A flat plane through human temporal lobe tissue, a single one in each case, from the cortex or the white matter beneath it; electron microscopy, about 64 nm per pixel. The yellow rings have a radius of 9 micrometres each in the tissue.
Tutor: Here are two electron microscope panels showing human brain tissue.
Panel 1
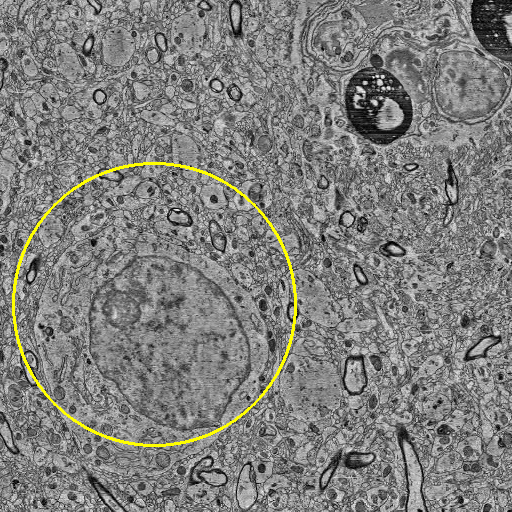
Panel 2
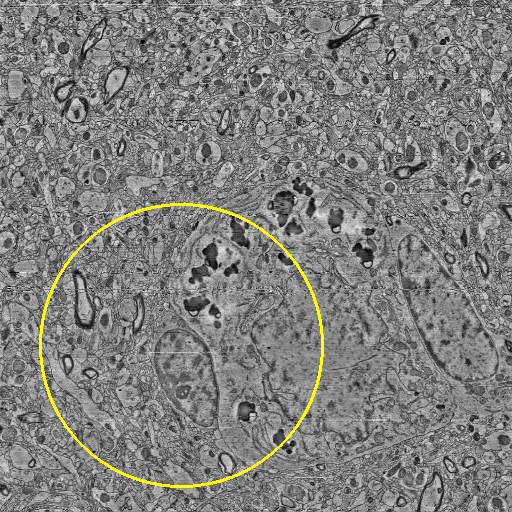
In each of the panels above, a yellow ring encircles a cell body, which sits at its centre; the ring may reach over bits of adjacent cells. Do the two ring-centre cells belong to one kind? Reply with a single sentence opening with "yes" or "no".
No, the two cells sitting at the ring centres in the panels belong to two kinds.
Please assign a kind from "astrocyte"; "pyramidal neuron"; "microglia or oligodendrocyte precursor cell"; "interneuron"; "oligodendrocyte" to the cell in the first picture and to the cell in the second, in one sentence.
In the first picture we have an interneuron, and in the second, an oligodendrocyte.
